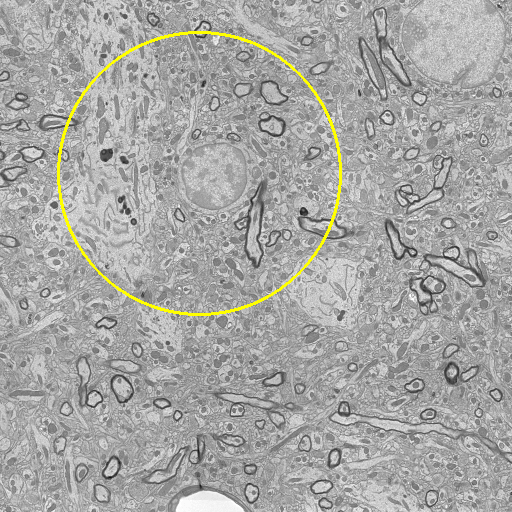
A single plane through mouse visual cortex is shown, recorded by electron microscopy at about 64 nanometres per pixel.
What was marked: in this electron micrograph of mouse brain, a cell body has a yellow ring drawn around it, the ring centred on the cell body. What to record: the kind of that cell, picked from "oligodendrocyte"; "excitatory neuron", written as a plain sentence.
The centred cell is an oligodendrocyte.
